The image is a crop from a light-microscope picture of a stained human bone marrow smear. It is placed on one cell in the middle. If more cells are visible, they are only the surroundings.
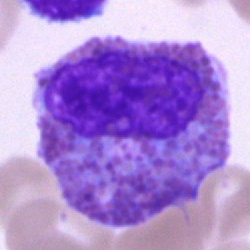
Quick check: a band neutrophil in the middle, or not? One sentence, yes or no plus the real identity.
No, it is an eosinophil, not a band neutrophil, that lies at the centre of the crop.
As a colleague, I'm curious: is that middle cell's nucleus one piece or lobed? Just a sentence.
A single compact nucleus is present, shaped round, oval or like a kidney.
